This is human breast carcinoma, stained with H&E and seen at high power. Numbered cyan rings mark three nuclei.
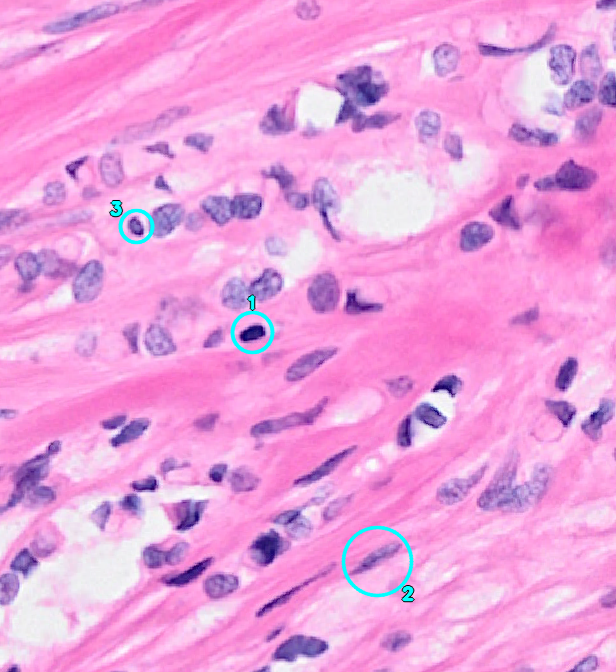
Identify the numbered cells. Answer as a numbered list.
1. lymphocyte
2. fibroblast
3. lymphocyte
